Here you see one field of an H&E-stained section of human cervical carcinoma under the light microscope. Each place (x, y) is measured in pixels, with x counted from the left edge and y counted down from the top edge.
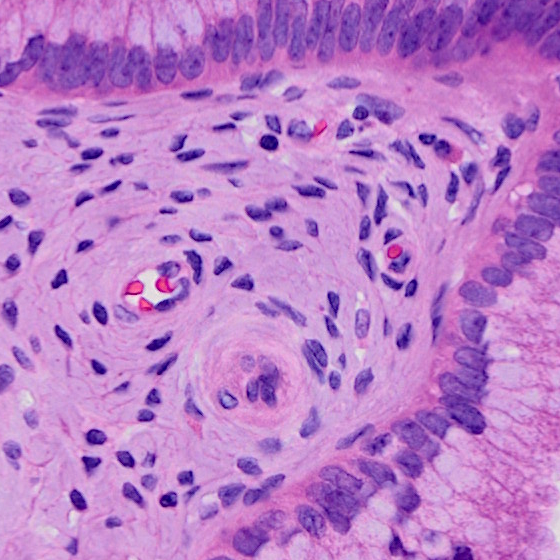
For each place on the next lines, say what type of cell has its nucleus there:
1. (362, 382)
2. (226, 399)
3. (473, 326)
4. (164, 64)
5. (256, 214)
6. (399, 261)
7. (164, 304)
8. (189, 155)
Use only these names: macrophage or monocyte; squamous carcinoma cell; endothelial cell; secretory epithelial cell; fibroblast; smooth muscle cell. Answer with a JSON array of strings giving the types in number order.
["fibroblast", "smooth muscle cell", "secretory epithelial cell", "secretory epithelial cell", "fibroblast", "endothelial cell", "endothelial cell", "fibroblast"]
